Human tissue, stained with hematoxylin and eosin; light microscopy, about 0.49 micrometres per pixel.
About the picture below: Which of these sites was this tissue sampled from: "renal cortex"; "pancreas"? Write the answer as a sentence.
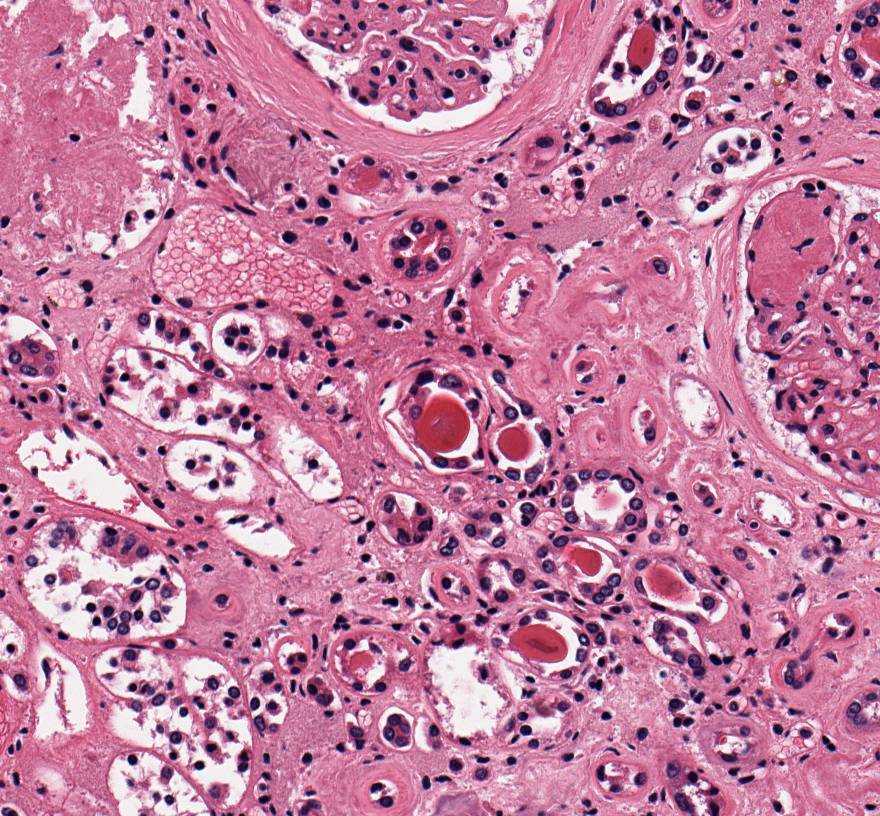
The site this tissue was sampled from is the renal cortex.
